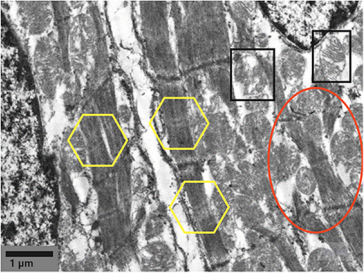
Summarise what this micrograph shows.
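Cardiomyocytes at high magnification with striated myofibril bundles running diagonally, separated by wide pale clefts. Transverse Z-bands are visible but in places blurred and indistinct rather than sharp. Some myofibril bundles look thinned and partly disrupted while keeping their parallel course. Several mitochondria appear rounded, with a paler matrix and less densely filled interior than usual. A dark nucleus-rich region lies at the left edge. Overall the field looks less orderly, with more empty pale space between the contractile elements.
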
